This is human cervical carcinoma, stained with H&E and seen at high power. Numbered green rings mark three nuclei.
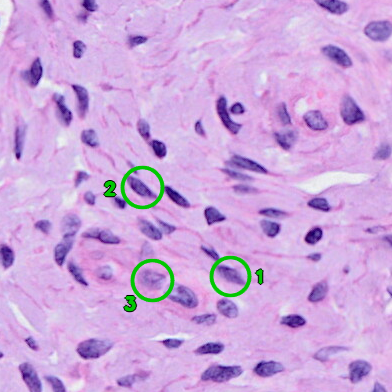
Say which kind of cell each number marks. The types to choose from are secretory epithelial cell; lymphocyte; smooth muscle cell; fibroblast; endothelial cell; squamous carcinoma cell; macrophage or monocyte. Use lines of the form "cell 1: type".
cell 1: fibroblast
cell 2: fibroblast
cell 3: endothelial cell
